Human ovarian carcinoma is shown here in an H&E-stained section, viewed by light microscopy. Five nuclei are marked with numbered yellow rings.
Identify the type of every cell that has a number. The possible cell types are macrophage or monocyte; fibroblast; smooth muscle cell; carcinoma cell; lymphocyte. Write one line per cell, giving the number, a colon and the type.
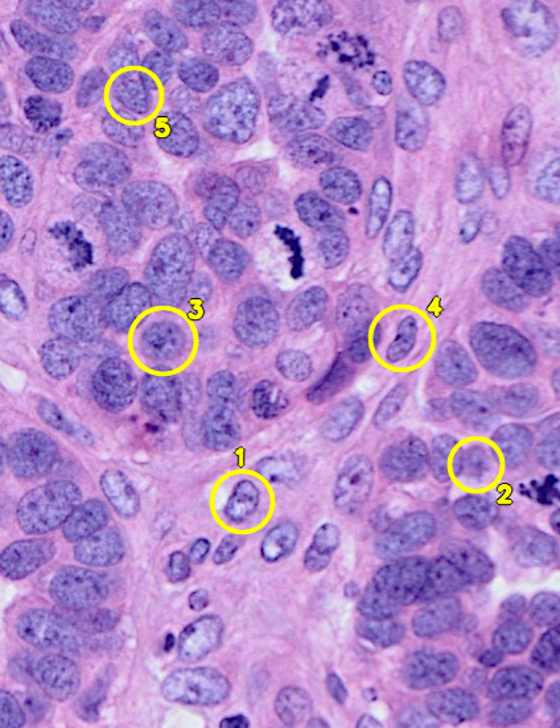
1: fibroblast
2: carcinoma cell
3: carcinoma cell
4: macrophage or monocyte
5: carcinoma cell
